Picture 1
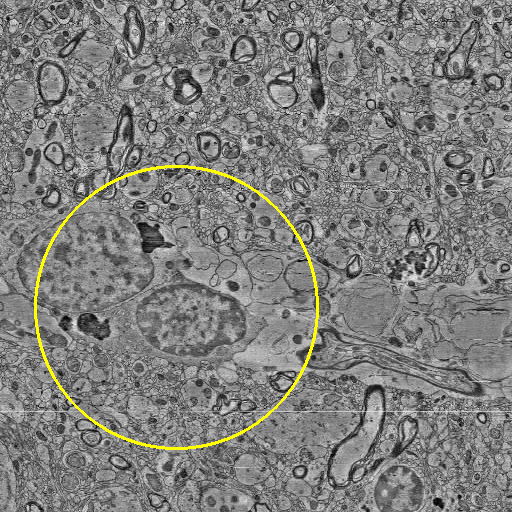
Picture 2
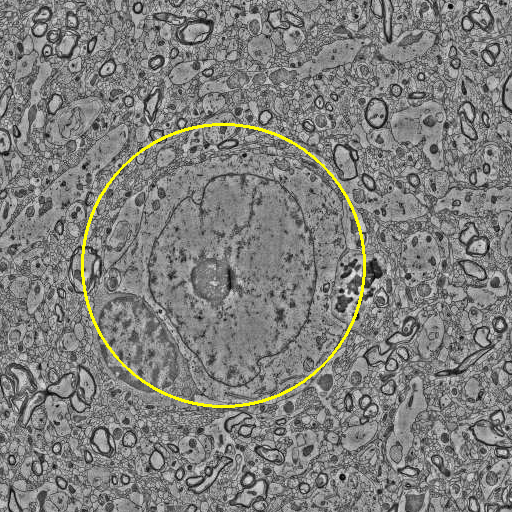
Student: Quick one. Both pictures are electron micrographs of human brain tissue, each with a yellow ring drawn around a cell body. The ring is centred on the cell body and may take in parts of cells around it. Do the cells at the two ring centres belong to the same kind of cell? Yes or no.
no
